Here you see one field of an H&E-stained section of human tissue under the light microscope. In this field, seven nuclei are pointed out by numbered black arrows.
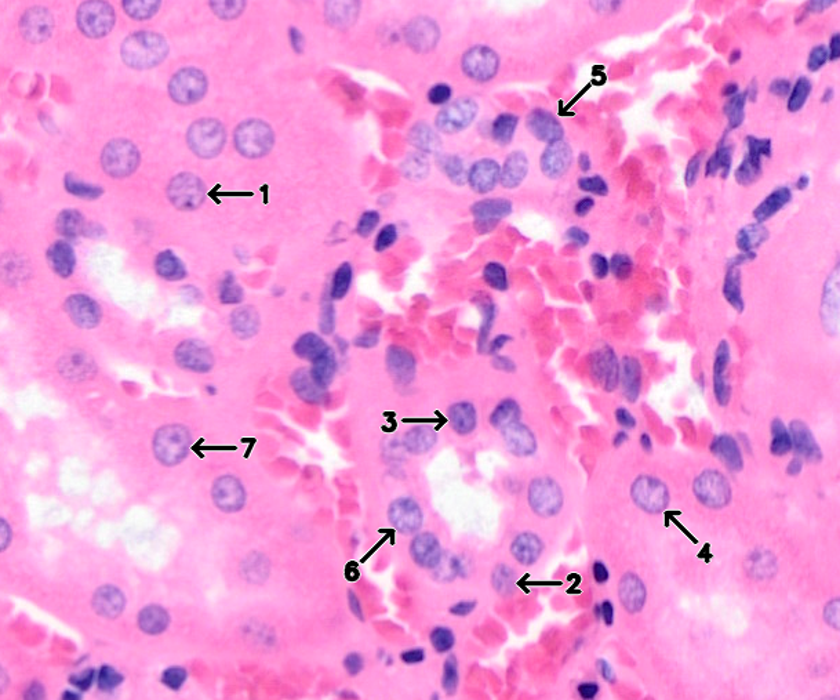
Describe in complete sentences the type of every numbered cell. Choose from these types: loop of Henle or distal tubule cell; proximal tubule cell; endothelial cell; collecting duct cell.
Cells 1, 4 and 7 are proximal tubule cells. Cells 2, 3, 5 and 6 are collecting duct cells.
